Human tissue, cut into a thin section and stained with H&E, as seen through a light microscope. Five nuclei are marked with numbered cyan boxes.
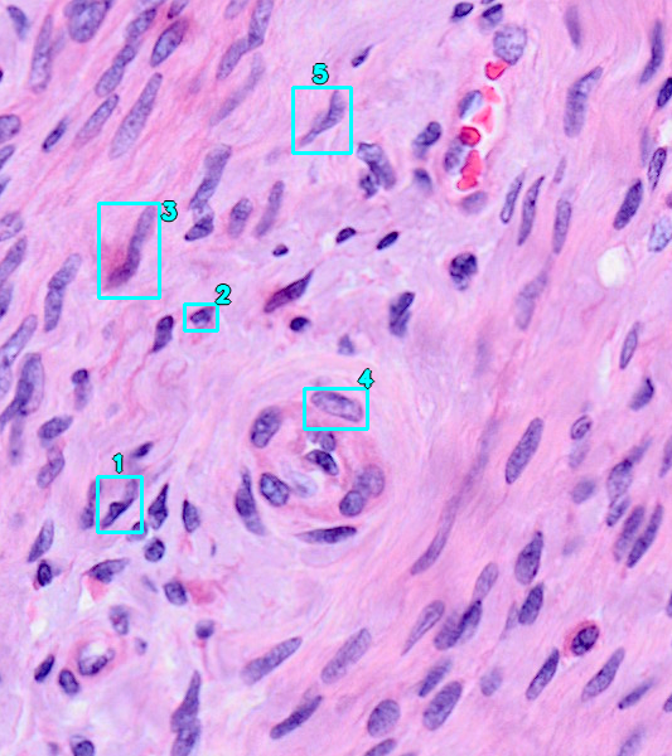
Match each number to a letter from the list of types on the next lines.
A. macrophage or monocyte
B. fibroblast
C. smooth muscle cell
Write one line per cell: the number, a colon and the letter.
1: B
2: C
3: C
4: C
5: B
